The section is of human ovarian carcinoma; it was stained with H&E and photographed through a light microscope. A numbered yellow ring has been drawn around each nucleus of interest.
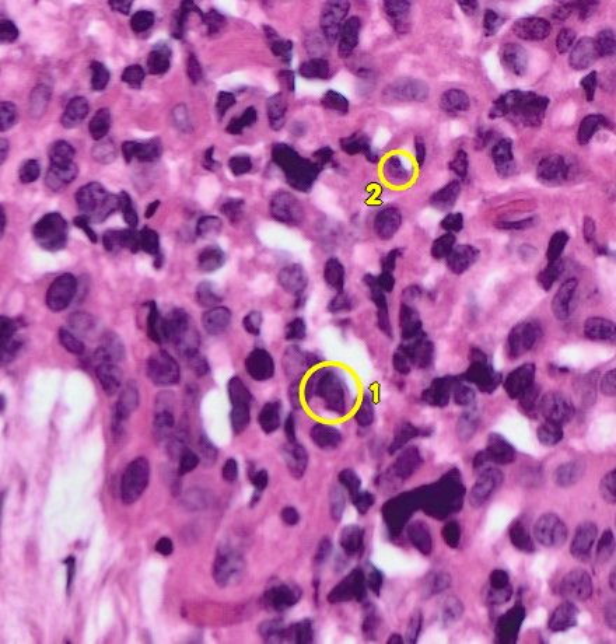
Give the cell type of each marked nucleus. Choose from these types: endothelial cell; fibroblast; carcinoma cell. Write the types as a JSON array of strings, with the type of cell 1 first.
["carcinoma cell", "endothelial cell"]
